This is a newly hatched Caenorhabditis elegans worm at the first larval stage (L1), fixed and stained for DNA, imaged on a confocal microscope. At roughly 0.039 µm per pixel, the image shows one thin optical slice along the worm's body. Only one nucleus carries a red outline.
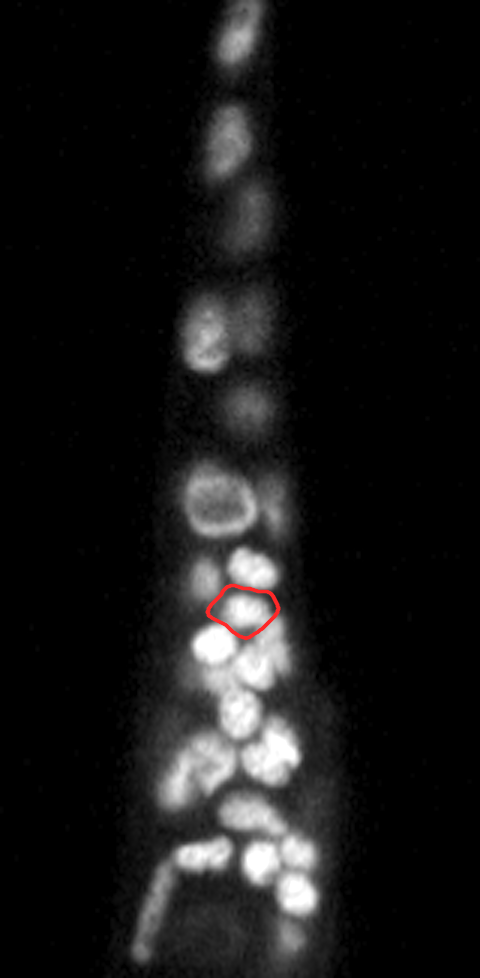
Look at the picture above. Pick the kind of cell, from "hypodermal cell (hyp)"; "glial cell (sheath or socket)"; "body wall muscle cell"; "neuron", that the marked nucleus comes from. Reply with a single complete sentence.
The nucleus comes from a glial cell (sheath or socket).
